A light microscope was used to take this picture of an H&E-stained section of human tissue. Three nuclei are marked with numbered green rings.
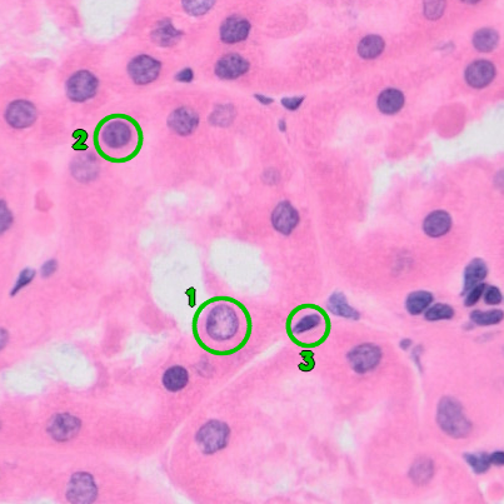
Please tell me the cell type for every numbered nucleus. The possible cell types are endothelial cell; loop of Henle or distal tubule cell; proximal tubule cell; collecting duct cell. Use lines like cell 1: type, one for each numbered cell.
cell 1: proximal tubule cell
cell 2: proximal tubule cell
cell 3: endothelial cell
